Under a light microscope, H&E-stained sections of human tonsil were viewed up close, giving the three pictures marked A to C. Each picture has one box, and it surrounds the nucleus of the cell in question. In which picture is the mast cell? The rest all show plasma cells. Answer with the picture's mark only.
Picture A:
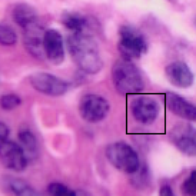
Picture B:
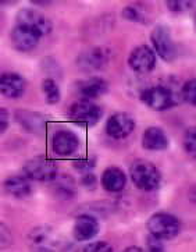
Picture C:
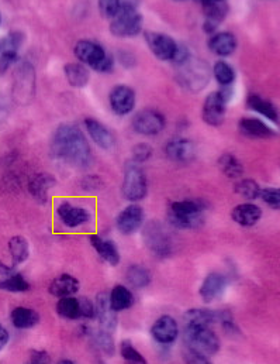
C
